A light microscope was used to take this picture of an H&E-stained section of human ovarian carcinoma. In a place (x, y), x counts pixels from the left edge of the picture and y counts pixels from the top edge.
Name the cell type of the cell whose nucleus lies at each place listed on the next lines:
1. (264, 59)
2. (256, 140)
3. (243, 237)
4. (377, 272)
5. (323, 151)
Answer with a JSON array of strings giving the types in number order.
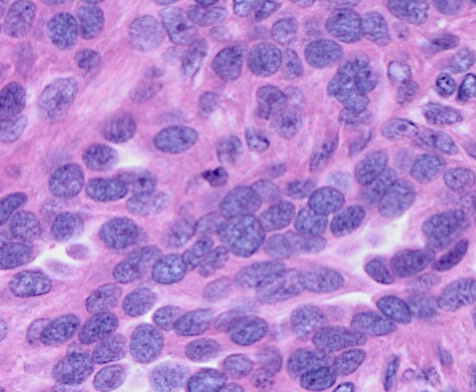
["carcinoma cell", "fibroblast", "carcinoma cell", "carcinoma cell", "fibroblast"]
